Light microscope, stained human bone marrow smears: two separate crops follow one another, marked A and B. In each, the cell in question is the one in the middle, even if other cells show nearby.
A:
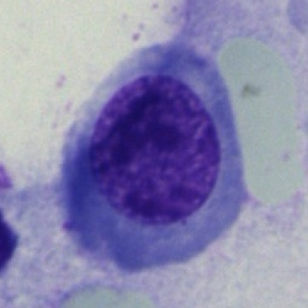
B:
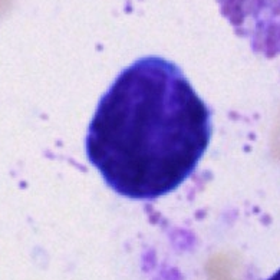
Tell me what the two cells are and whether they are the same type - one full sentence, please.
No, crop A presents an erythroblast, whereas crop B presents a lymphocyte.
